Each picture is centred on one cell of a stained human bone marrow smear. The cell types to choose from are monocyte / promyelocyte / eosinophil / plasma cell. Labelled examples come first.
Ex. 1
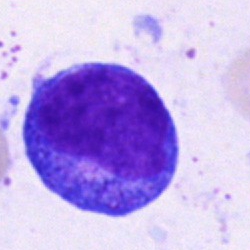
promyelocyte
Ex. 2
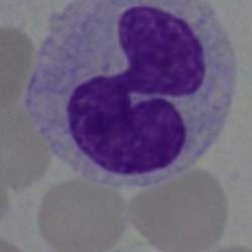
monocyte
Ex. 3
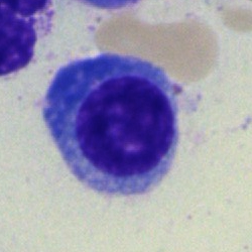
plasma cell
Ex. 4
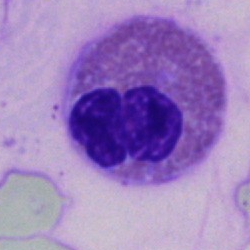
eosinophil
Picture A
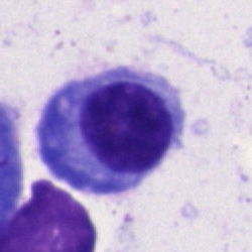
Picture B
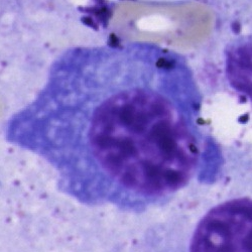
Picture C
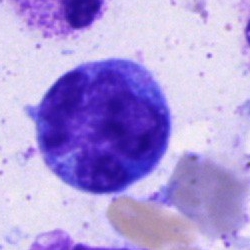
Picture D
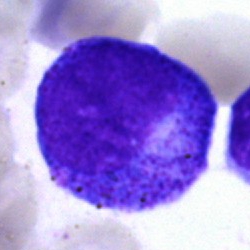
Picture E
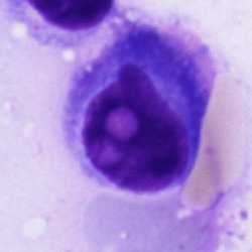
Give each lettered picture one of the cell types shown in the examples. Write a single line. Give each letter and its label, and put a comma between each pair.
A plasma cell, B plasma cell, C monocyte, D promyelocyte, E plasma cell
